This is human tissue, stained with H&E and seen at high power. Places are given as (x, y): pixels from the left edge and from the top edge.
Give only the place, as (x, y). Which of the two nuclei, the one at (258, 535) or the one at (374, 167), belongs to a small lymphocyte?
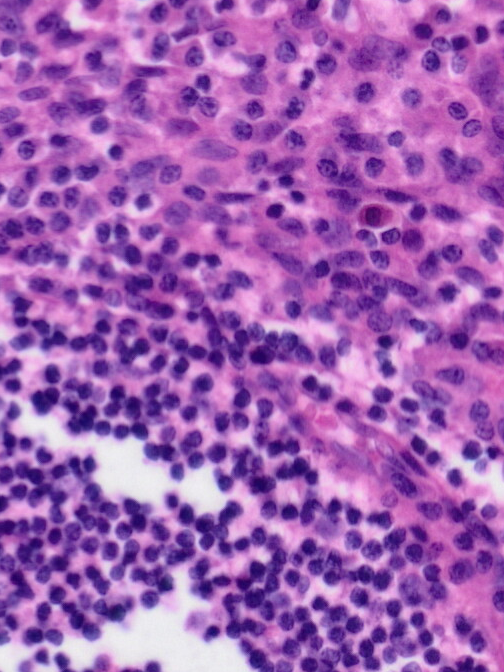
(258, 535)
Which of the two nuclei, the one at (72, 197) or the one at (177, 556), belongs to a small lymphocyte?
(177, 556)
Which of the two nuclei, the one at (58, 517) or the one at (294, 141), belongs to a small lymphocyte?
(58, 517)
